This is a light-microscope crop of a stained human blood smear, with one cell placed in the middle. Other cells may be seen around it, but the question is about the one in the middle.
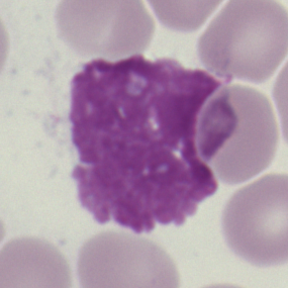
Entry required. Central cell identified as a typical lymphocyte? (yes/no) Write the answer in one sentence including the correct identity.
No, the central cell is not to be called a typical lymphocyte, being a smudge cell.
